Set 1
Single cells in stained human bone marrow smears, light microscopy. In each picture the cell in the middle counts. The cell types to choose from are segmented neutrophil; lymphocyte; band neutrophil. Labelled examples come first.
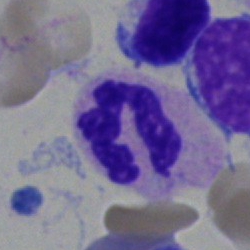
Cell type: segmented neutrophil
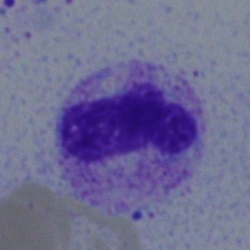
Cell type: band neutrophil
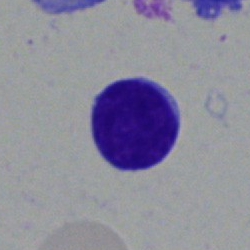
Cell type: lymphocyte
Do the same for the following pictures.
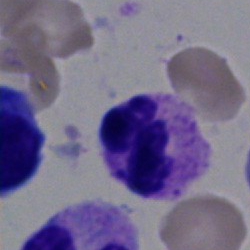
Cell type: segmented neutrophil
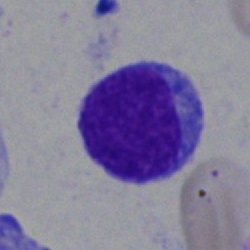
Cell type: lymphocyte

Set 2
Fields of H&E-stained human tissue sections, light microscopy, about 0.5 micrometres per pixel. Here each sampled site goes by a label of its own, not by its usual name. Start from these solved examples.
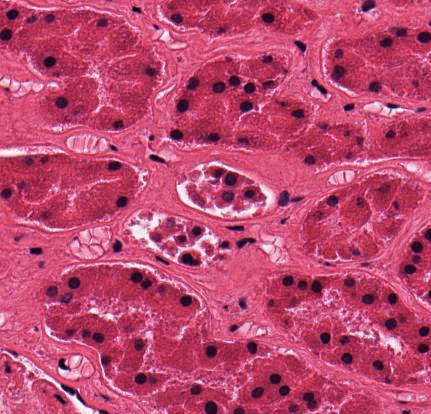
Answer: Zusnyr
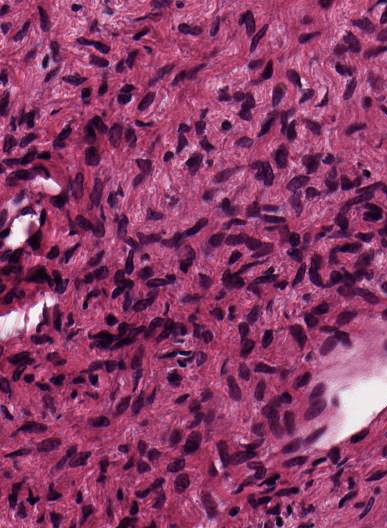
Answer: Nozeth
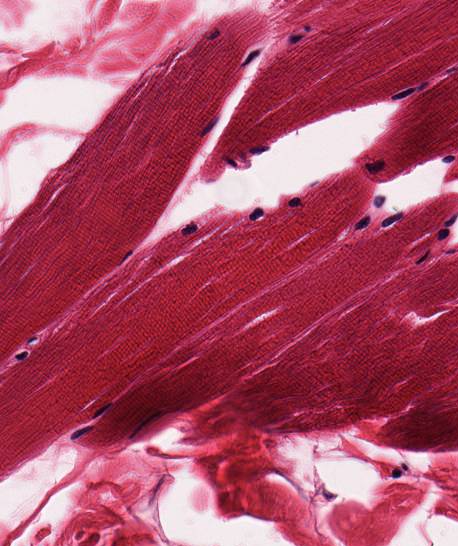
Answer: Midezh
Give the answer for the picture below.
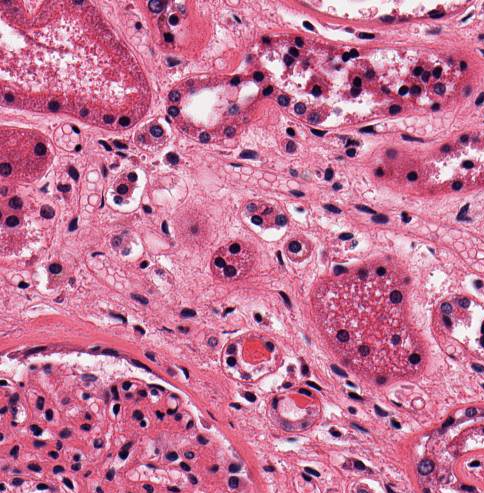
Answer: Zusnyr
